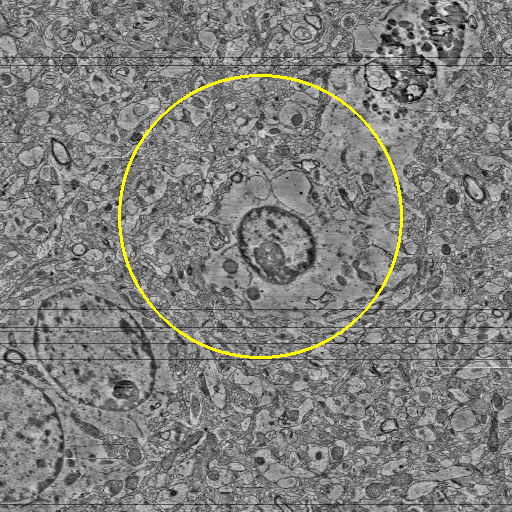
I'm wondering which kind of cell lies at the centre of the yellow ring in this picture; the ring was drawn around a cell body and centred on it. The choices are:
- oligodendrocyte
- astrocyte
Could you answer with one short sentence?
At the centre of the ring lies an astrocyte.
